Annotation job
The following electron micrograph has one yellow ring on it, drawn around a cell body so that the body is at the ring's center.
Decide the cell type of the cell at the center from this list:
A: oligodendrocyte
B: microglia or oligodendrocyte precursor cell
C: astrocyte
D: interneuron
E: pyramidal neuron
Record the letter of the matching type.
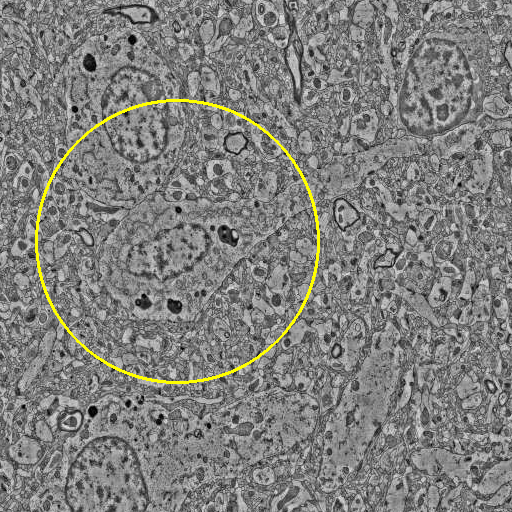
D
